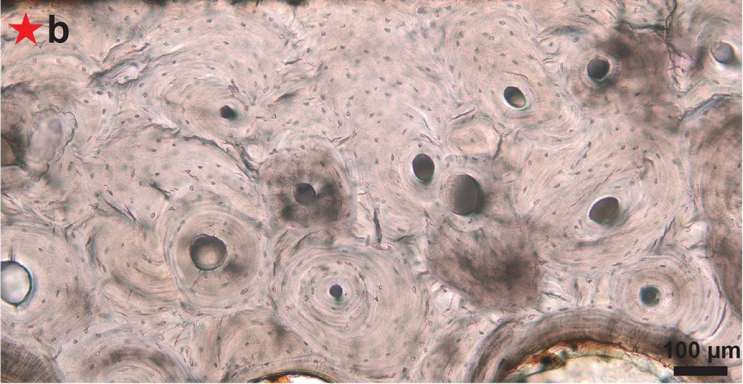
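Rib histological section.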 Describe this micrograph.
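Interstitial lamellae fill the space between osteons. The matrix is pale pinkish-brown, but several areas around canals are clouded by diffuse dark brown patches that blur the lamellae and lacunae. Fine dark cracks cross the matrix in places. These cloudy patches and cracks suggest the bone has begun to break down.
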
